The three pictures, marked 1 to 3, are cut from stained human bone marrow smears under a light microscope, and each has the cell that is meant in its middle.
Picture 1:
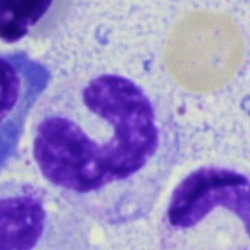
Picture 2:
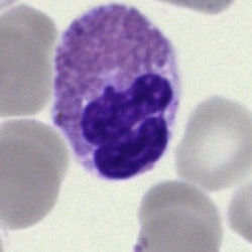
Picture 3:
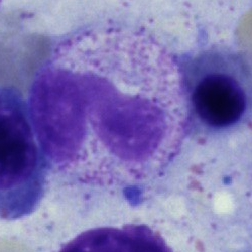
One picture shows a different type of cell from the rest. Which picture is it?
2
